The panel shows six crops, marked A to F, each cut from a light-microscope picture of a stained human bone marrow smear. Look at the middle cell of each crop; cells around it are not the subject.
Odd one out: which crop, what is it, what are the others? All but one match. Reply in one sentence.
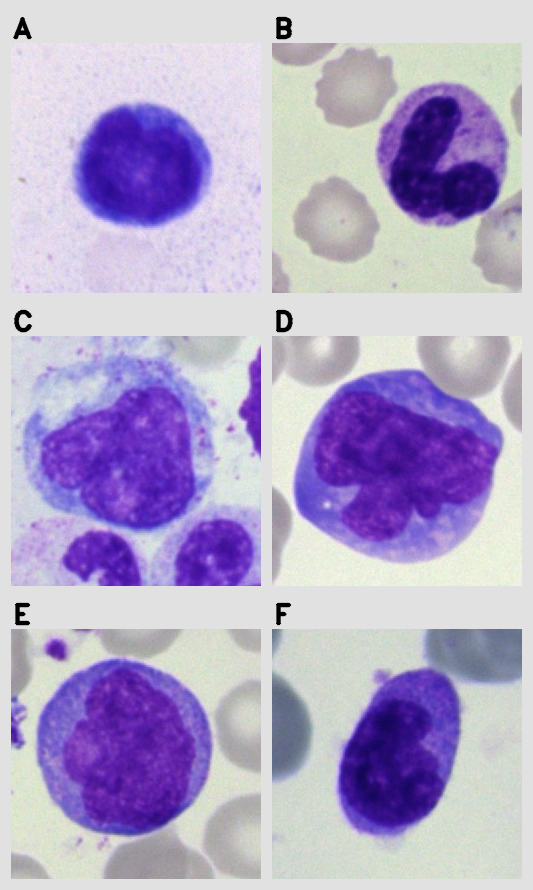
Of the crops, all show monocytes save crop B, which shows a band neutrophil.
